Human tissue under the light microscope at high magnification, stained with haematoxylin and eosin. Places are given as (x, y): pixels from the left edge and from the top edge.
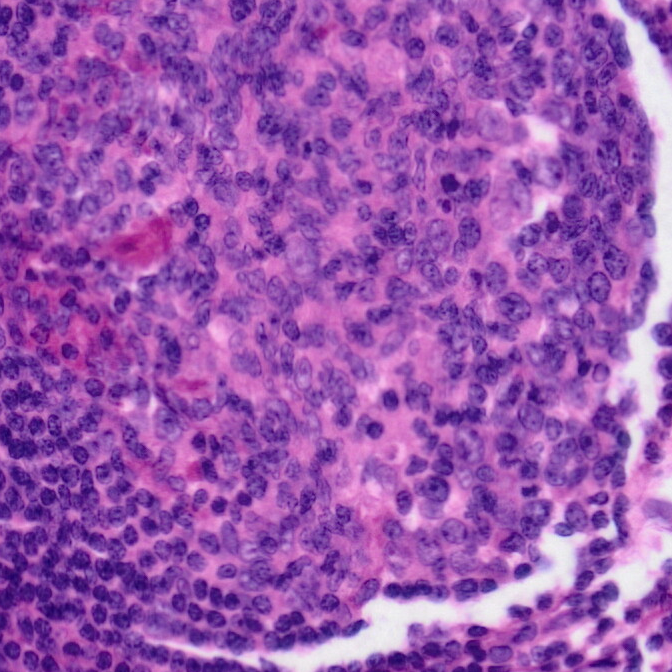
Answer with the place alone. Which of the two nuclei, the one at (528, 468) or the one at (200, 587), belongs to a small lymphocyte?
(200, 587)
